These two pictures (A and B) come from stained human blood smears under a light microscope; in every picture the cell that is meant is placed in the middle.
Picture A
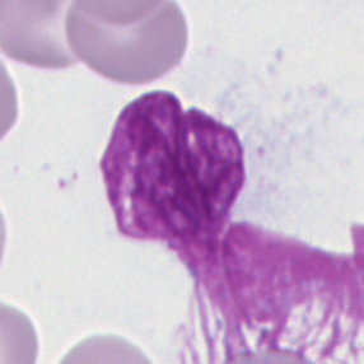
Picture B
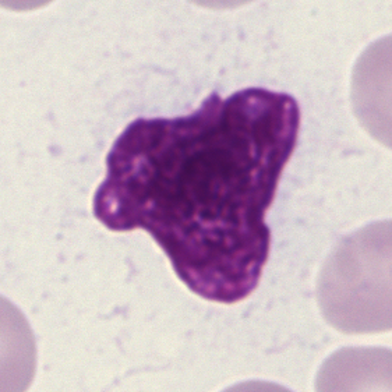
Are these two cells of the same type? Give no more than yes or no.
yes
